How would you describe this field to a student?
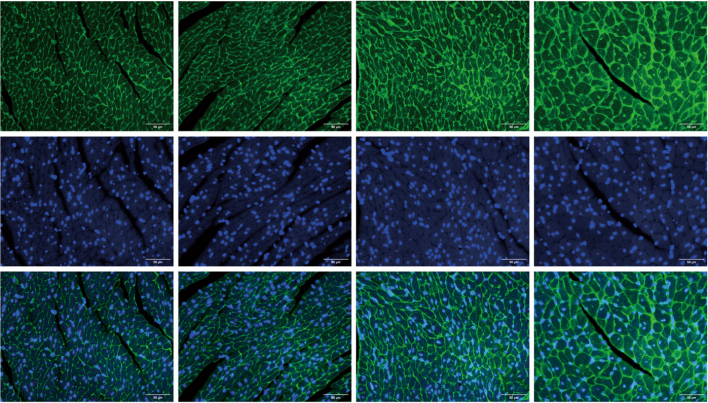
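Profiles are polygonal and tightly packed, forming a mesh of thin green lines; blue round to oval nuclei lie within or at the edges of the outlined profiles, and the merged images show both together. Narrow dark clefts cross some fields where fibres separate. In some fields the outlined profiles are larger, with a wider mesh and thicker-looking outlines than in others, while nuclear density looks lower in those fields.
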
